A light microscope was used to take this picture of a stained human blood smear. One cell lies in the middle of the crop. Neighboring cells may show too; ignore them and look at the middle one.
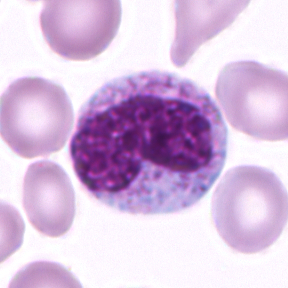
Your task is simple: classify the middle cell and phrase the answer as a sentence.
The cell the crop is centered on is a band neutrophil.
